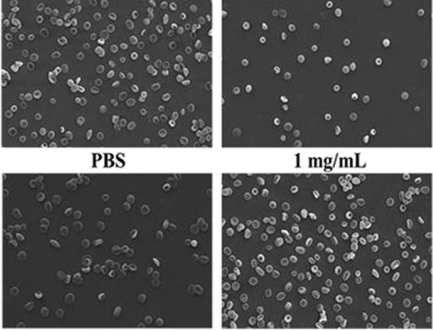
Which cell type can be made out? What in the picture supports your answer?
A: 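Many small, uniform, rounded disc-shaped cells on a smooth dark background. The cells have no processes and are of similar size. Many cells show a brighter rim around a flatter centre.
Erythrocyte.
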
